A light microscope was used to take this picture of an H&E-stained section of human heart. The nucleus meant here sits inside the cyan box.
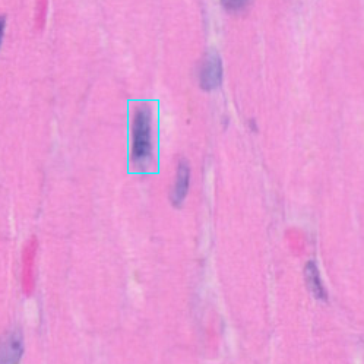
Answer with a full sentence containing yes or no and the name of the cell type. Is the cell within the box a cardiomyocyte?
No, what the cell within the box represents is an endothelial cell rather than a cardiomyocyte.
